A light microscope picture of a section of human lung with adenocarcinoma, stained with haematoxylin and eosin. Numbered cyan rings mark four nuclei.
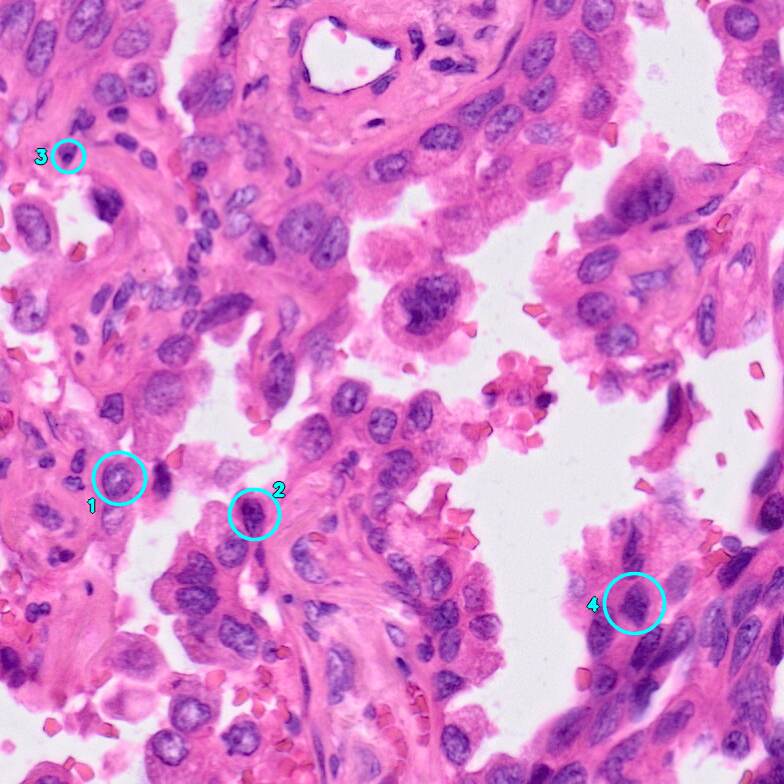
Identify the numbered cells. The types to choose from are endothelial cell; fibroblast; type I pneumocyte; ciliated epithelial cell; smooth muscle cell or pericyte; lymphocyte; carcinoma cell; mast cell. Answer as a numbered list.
1. carcinoma cell
2. carcinoma cell
3. lymphocyte
4. carcinoma cell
